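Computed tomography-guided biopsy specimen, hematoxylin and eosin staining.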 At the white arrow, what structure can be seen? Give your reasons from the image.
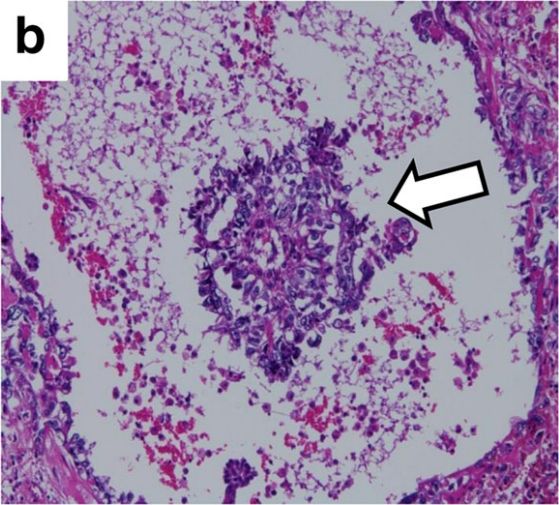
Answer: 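Schiller–Duval body. A rounded cluster of dark purple cells lies free within an open space. The cells form a cuff around a small central core. Loose pale material and red blood cells surround the cluster in the space.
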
